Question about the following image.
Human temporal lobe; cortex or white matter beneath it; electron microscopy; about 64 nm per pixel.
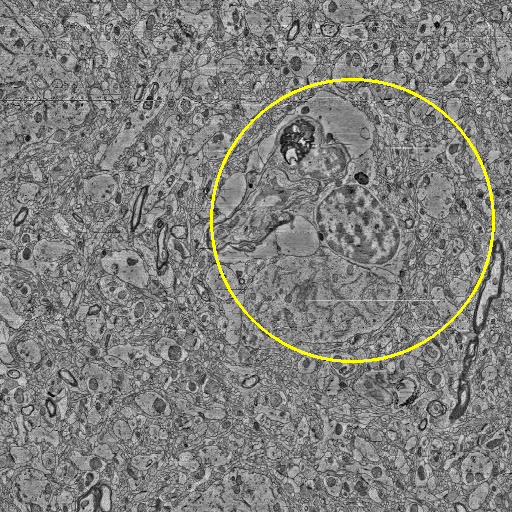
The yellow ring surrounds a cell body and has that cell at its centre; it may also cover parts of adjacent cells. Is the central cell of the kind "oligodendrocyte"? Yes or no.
No, it is of another kind.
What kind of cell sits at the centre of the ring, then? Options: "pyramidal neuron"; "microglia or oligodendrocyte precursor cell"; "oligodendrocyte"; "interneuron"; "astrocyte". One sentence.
As it turns out, the cell at the ring centre is a microglial cell or oligodendrocyte precursor cell.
